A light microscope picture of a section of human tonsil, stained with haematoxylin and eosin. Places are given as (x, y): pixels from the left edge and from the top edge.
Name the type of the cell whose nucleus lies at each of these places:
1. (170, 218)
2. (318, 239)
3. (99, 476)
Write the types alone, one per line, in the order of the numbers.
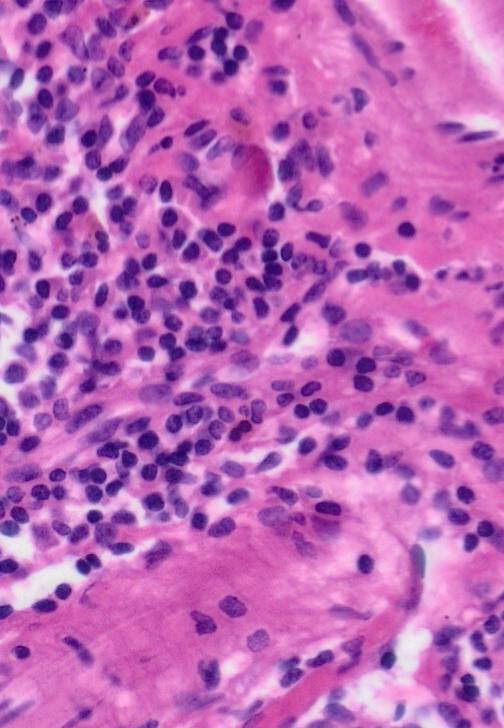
plasma cell
mast cell
small lymphocyte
